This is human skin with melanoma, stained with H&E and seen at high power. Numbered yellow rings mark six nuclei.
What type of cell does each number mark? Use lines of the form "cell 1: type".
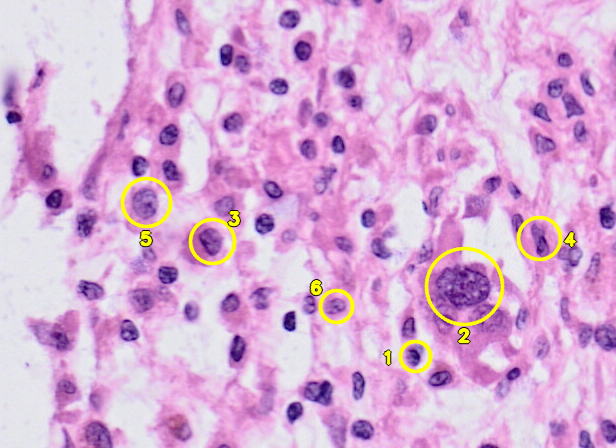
cell 1: lymphocyte
cell 2: melanoma cell
cell 3: macrophage or monocyte
cell 4: macrophage or monocyte
cell 5: macrophage or monocyte
cell 6: macrophage or monocyte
